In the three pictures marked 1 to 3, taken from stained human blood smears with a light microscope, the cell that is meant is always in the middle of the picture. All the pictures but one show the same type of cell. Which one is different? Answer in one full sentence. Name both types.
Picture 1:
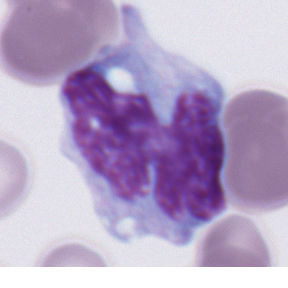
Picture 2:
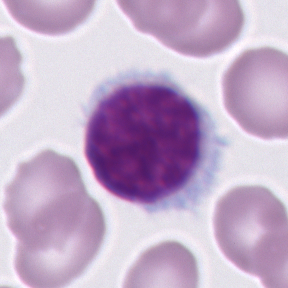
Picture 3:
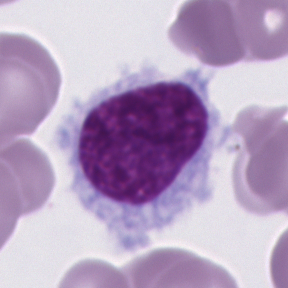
Unlike the rest, which show hairy cells, picture 1 shows a monocyte.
